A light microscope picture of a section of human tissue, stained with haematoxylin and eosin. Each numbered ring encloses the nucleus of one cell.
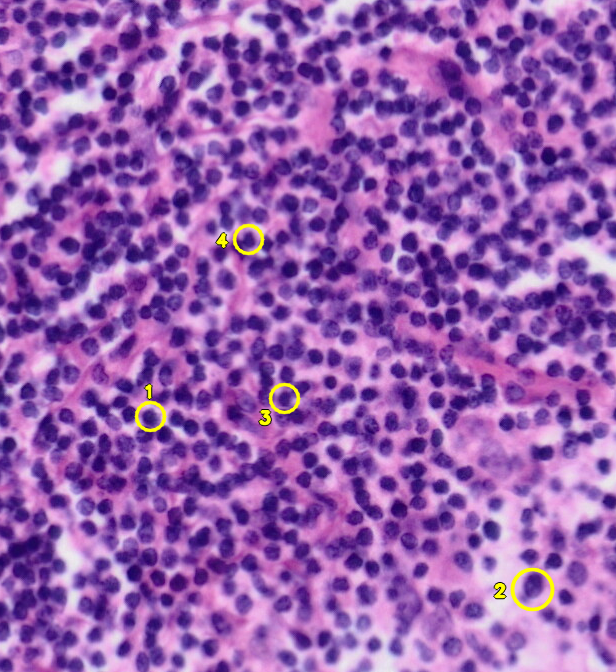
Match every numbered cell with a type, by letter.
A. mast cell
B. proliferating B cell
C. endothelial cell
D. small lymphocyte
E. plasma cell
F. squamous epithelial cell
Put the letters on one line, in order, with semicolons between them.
D; B; D; D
